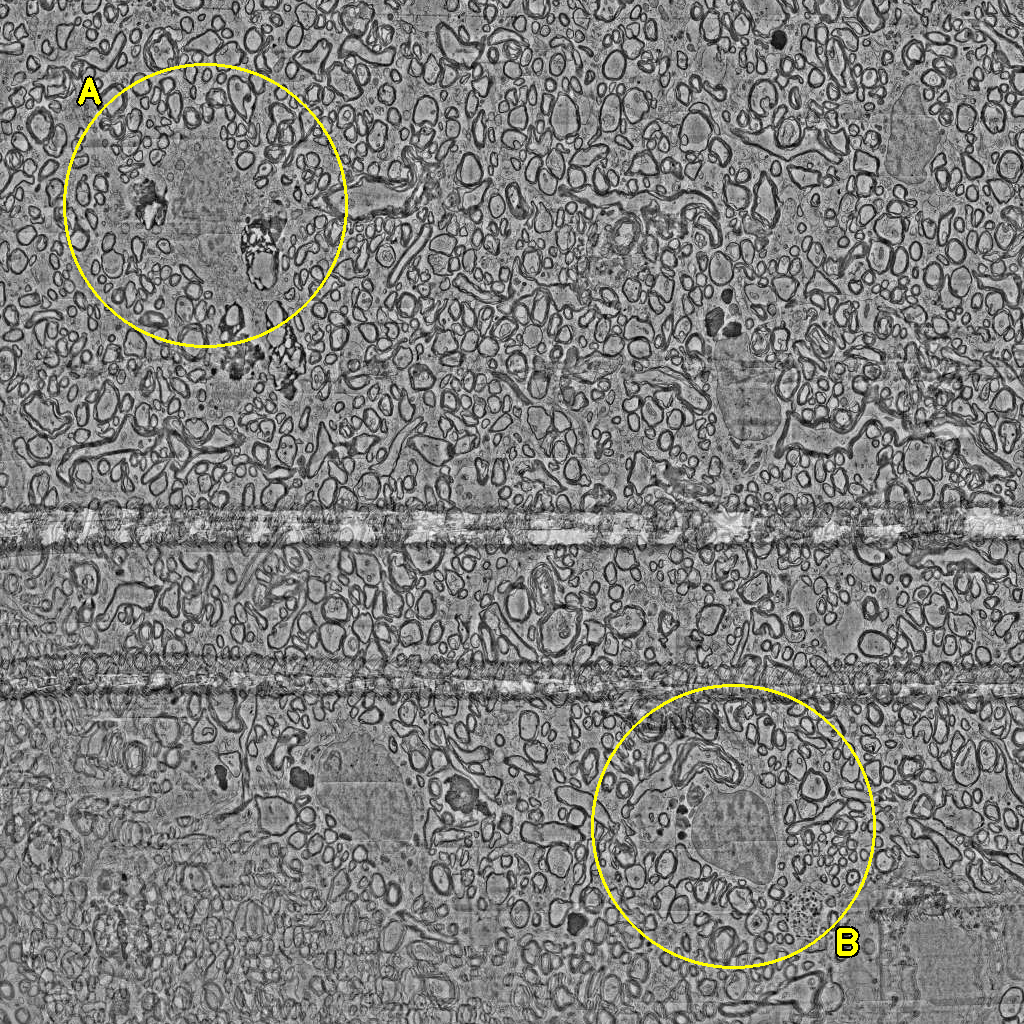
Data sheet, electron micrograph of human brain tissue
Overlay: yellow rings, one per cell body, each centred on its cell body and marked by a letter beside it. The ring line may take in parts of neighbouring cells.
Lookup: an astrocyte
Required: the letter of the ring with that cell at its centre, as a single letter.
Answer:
A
